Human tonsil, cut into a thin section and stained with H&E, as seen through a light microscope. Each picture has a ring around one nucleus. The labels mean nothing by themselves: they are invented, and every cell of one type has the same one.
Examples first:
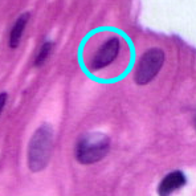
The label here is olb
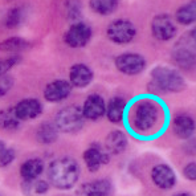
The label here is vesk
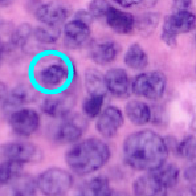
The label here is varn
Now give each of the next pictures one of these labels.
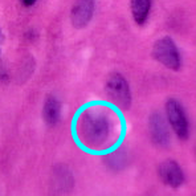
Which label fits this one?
olb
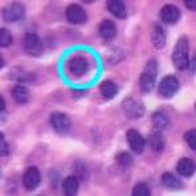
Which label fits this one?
vesk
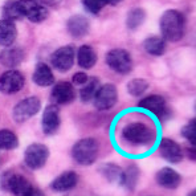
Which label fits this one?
varn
